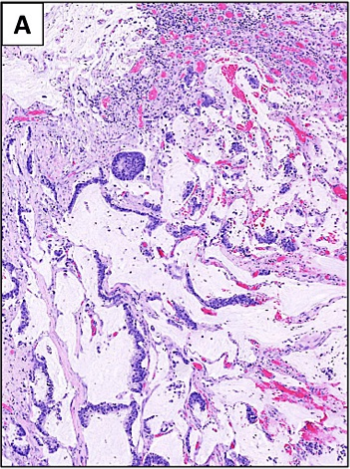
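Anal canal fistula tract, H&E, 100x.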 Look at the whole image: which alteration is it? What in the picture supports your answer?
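Adenocarcinoma with mucinous features. Thin strips and small clusters of darkly stained epithelium lie within wide pale, bluish-grey pools. The epithelial strands are irregular and scattered through the pale material rather than forming orderly crypts. Hemorrhage and an inflammatory cell infiltrate lie at the upper edge.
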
